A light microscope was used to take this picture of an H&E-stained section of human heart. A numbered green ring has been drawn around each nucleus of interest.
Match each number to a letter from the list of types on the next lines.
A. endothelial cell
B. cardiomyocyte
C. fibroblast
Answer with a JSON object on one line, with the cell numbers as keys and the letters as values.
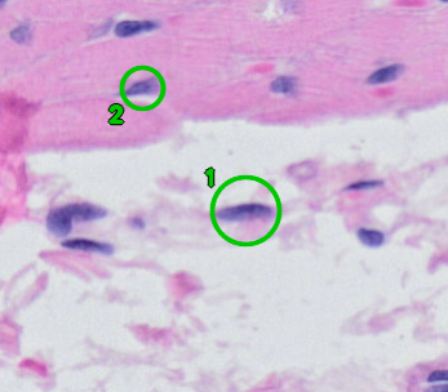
{"1": "C", "2": "A"}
